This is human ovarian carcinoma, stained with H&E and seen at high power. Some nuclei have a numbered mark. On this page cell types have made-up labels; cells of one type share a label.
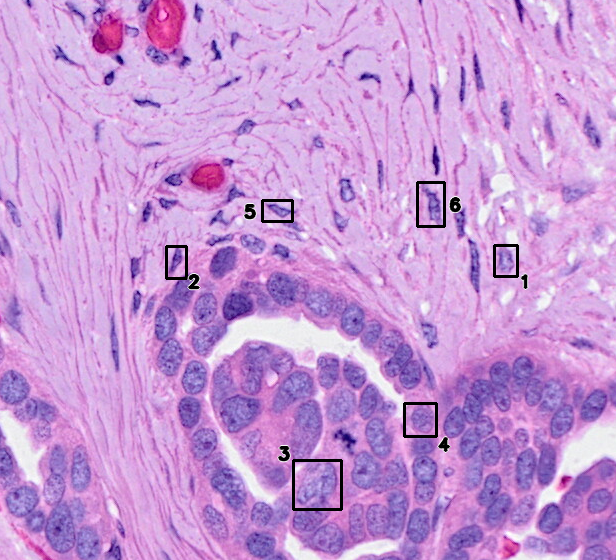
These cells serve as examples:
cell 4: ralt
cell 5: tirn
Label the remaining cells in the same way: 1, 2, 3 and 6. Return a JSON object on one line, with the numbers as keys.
{"1": "tirn", "2": "tirn", "3": "ralt", "6": "tirn"}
